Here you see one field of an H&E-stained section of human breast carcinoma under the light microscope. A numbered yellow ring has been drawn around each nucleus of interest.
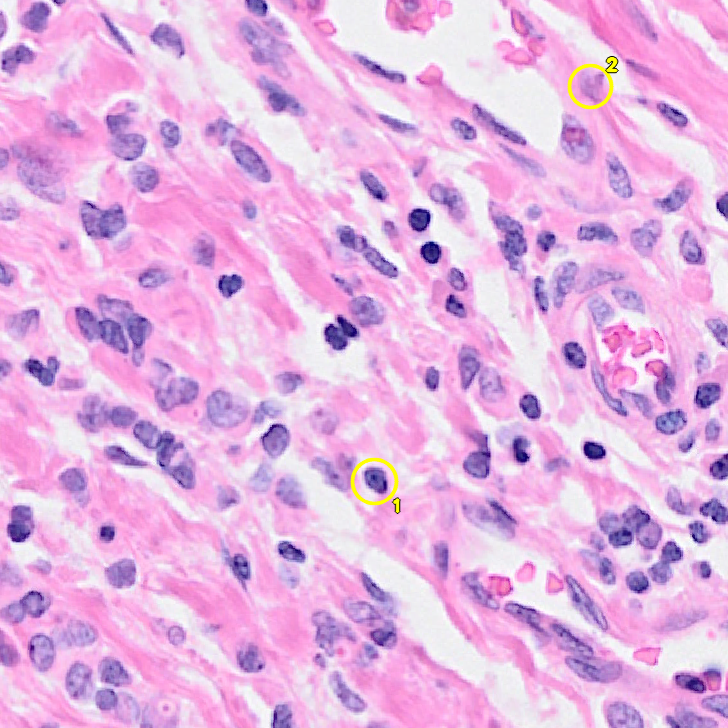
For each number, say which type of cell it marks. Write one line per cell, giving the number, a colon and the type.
1: lymphocyte
2: endothelial cell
